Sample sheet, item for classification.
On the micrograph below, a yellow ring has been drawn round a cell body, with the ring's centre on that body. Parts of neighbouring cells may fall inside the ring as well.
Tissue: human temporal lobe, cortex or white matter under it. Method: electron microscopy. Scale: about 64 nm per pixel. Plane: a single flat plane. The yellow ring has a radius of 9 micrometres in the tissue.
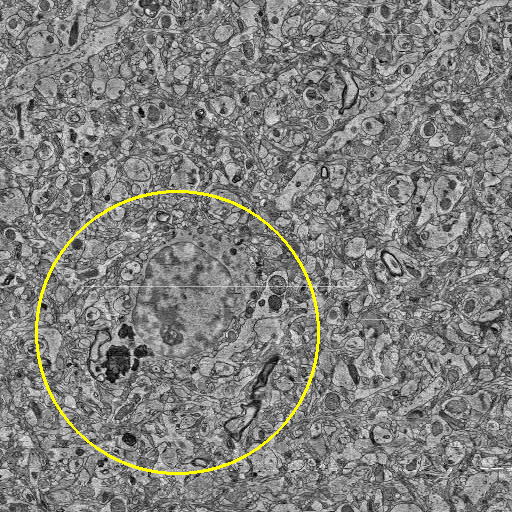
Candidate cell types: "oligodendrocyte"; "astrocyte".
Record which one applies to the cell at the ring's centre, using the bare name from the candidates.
oligodendrocyte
